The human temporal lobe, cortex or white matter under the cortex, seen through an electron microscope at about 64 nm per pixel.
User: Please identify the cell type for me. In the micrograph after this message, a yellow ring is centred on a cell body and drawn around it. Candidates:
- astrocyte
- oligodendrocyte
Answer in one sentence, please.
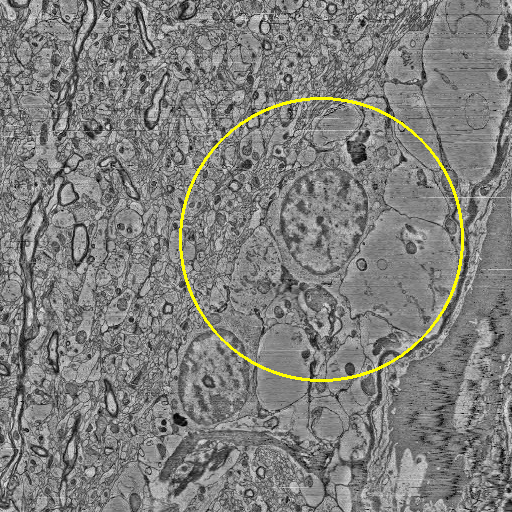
The ring is drawn around the cell body of an oligodendrocyte.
